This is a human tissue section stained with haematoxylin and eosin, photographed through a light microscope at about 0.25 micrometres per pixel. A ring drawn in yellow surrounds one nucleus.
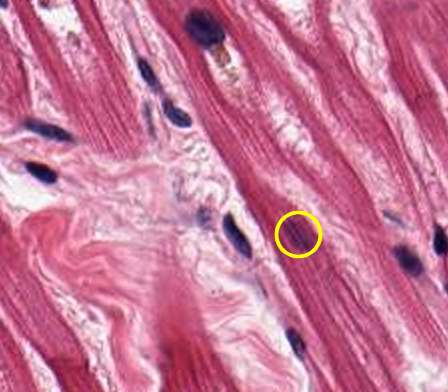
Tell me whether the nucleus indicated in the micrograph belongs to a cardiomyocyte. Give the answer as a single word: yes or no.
yes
